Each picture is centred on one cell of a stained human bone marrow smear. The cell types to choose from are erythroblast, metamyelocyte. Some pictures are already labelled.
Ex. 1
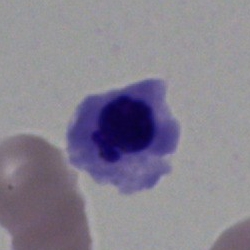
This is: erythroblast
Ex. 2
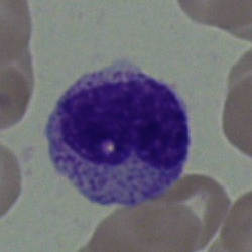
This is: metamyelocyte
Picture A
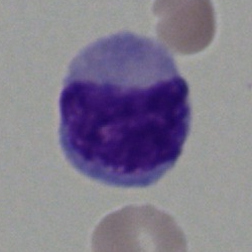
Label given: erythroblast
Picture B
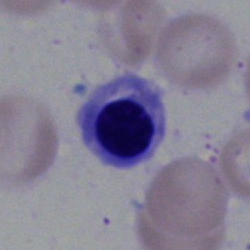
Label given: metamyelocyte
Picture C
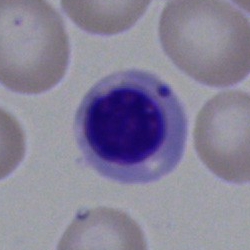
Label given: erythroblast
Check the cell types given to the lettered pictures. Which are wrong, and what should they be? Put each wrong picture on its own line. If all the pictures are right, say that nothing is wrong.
Wrong: A (erythroblast); correct: metamyelocyte
Wrong: B (metamyelocyte); correct: erythroblast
